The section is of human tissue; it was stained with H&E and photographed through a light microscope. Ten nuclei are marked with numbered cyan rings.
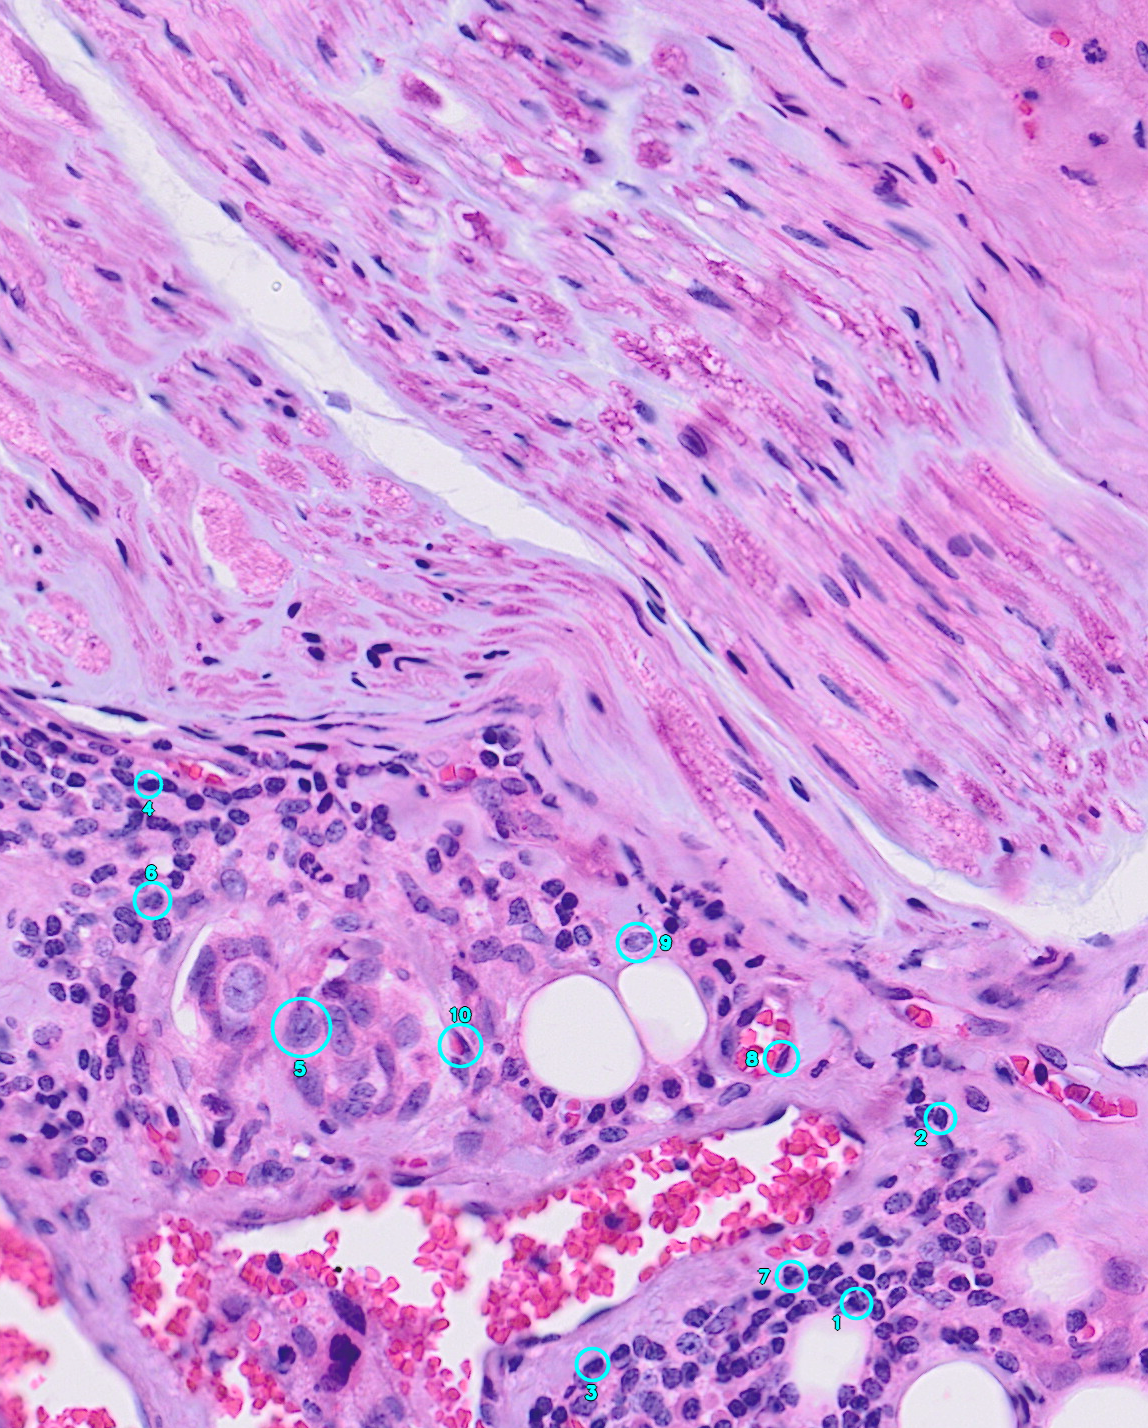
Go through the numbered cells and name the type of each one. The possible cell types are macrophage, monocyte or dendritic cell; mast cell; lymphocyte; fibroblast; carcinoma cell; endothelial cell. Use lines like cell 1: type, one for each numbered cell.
cell 1: lymphocyte
cell 2: lymphocyte
cell 3: lymphocyte
cell 4: lymphocyte
cell 5: carcinoma cell
cell 6: lymphocyte
cell 7: lymphocyte
cell 8: endothelial cell
cell 9: macrophage, monocyte or dendritic cell
cell 10: endothelial cell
